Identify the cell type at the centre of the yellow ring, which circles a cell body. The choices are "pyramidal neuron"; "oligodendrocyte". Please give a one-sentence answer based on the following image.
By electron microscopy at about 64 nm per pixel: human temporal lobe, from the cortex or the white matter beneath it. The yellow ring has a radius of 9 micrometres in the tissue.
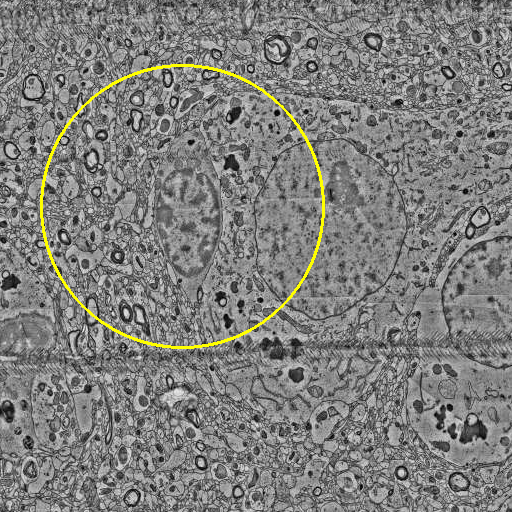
The cell marked by the ring is an oligodendrocyte.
